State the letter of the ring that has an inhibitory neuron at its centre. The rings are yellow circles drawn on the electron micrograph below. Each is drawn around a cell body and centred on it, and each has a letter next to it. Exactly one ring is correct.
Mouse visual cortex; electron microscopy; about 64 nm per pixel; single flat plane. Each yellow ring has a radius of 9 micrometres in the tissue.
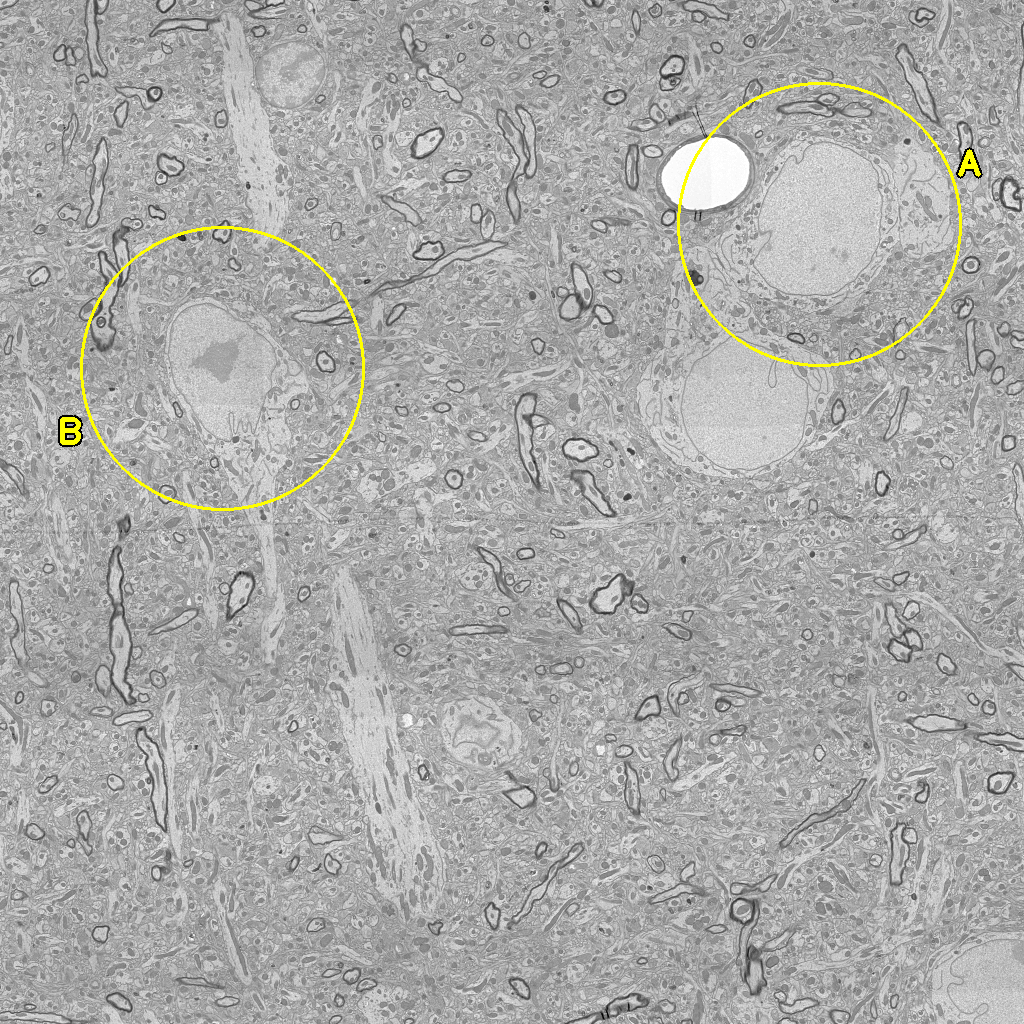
B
